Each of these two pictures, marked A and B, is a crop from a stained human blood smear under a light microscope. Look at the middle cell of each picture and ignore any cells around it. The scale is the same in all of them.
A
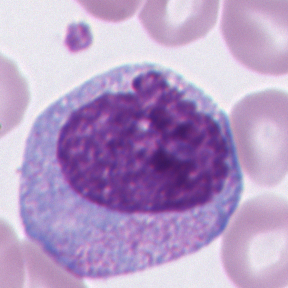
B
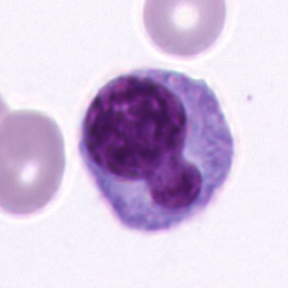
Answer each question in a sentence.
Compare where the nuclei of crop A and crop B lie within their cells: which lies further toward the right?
It is the nucleus in crop A that lies further toward the right of its cell.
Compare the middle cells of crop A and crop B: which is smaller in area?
Crop B holds the smaller cell, since the cell in crop A covers about 2 times as much area.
